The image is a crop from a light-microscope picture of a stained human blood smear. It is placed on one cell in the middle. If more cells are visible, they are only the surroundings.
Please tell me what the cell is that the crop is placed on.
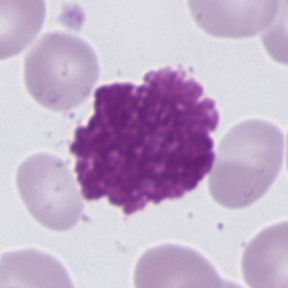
smudge cell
